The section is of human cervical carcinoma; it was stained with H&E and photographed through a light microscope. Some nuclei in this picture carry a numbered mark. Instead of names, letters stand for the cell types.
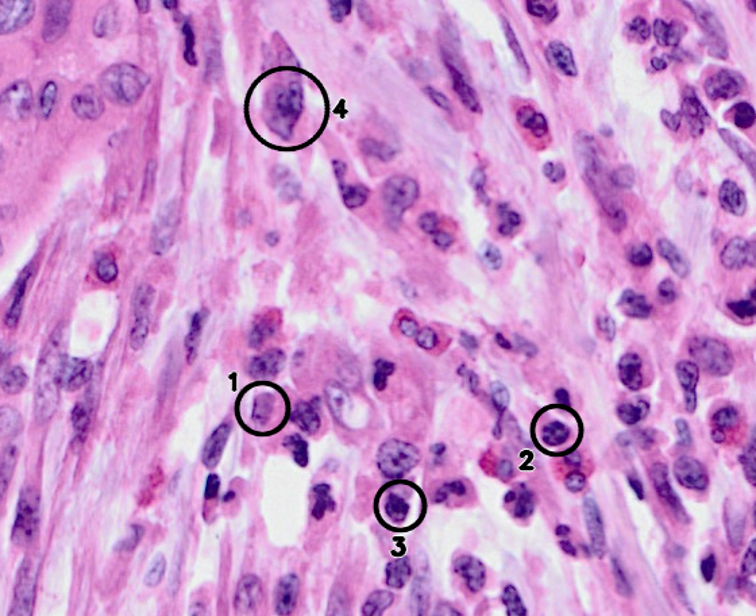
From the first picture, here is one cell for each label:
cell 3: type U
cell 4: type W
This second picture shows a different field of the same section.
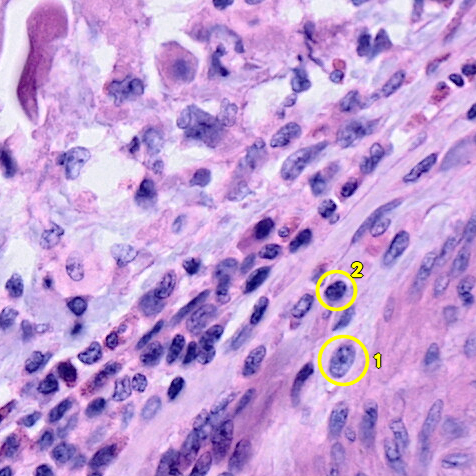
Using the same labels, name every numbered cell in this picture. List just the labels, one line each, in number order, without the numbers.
type W
type U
